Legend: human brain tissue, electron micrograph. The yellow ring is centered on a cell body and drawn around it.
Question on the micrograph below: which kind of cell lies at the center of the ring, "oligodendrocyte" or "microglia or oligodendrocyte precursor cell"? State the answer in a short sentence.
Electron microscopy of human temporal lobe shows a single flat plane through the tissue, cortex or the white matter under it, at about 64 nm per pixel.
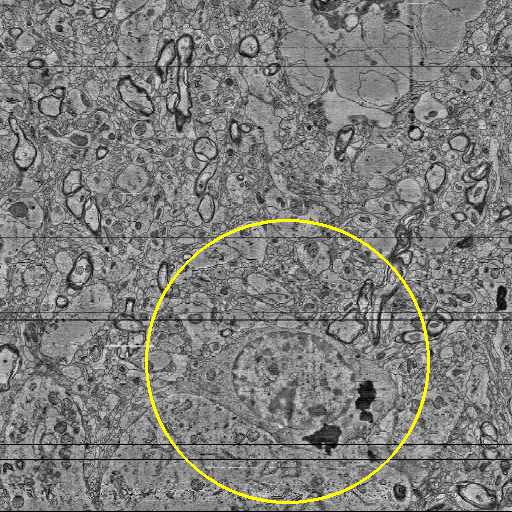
At the center of the ring lies an oligodendrocyte.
